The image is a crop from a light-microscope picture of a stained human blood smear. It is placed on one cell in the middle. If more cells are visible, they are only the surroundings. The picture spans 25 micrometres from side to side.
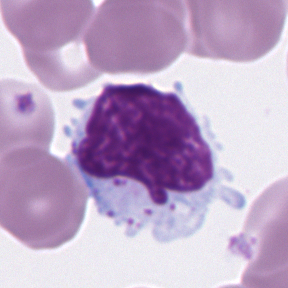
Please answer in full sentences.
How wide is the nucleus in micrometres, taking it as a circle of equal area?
The nucleus is about 10 micrometres across.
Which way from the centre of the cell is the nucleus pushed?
Toward the top of the cell lies its nucleus.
